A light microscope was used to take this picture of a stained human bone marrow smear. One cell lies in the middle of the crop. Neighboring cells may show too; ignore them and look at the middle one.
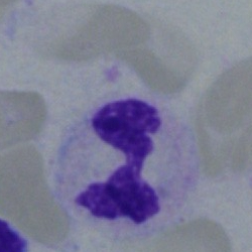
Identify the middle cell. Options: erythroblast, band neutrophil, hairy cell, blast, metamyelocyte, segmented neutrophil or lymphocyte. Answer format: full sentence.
The cell the crop is centered on is a segmented neutrophil.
